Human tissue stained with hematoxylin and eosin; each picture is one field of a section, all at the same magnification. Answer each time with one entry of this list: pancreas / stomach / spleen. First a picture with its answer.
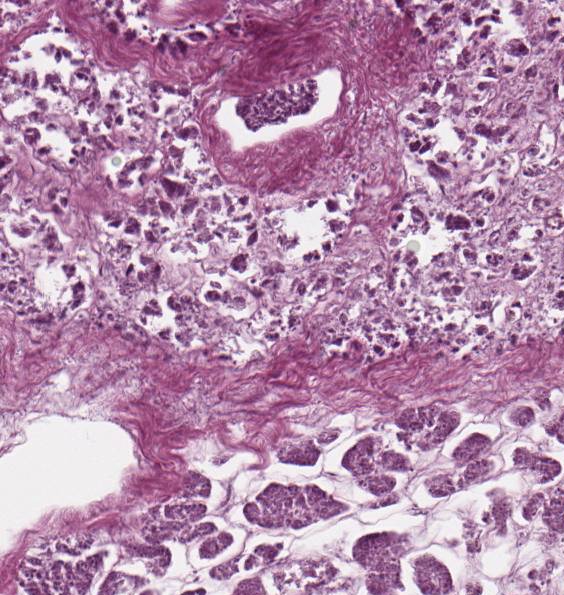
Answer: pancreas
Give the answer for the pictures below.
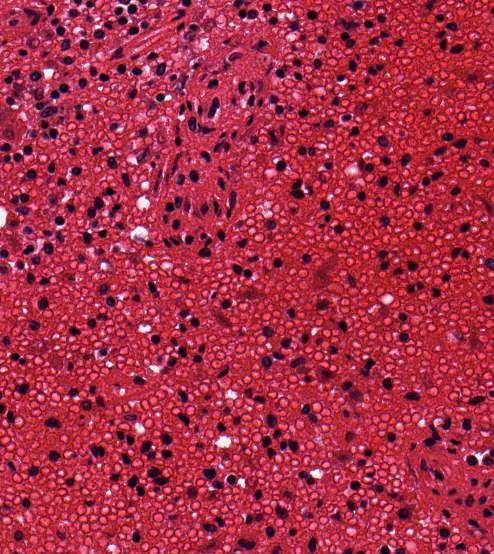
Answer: spleen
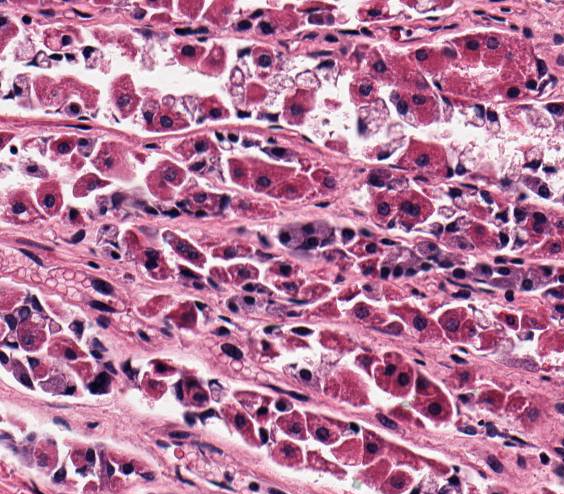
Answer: stomach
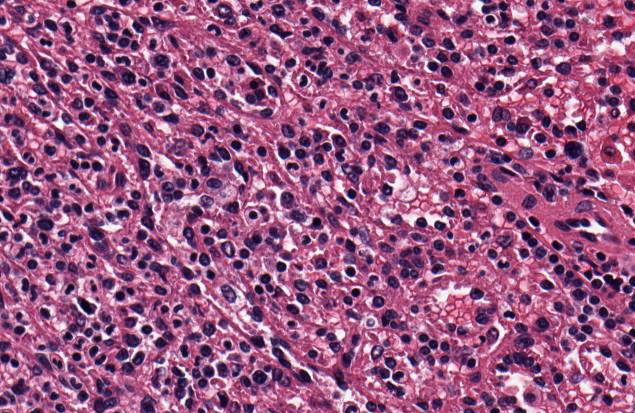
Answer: spleen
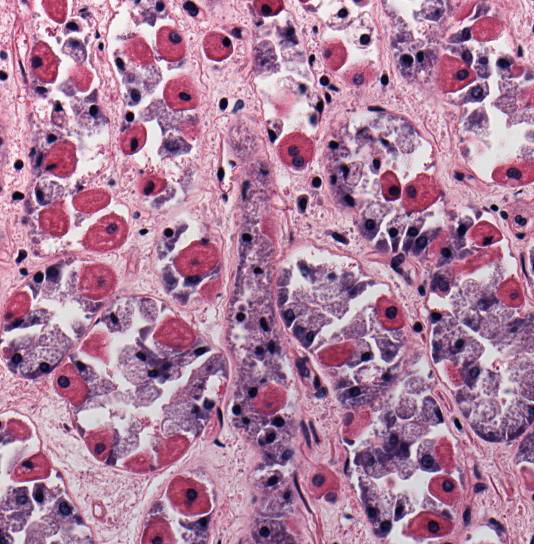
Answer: stomach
